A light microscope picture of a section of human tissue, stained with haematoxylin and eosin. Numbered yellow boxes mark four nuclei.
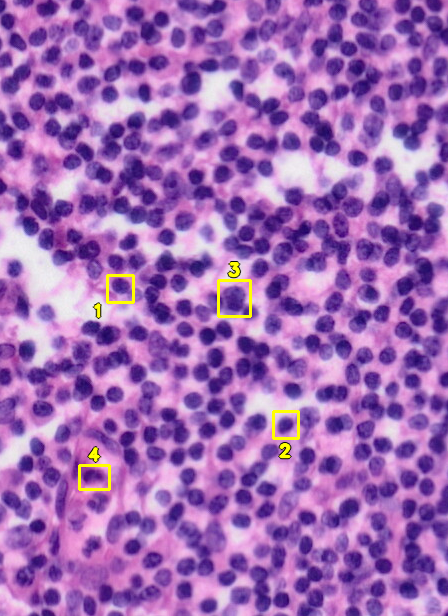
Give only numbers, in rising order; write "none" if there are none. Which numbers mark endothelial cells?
4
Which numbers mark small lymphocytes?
1, 2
